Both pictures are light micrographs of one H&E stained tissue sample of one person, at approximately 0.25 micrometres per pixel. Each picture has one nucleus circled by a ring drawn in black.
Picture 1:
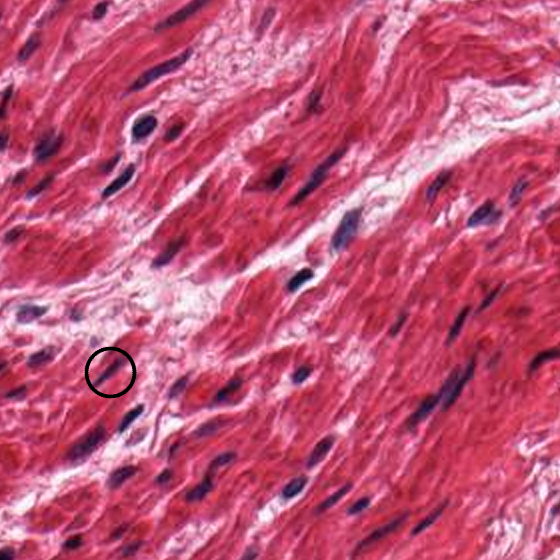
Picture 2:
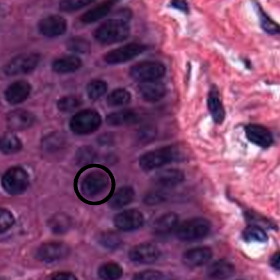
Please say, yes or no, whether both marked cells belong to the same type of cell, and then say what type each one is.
No, the first is a smooth muscle cell and the second a squamous epithelial cell.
